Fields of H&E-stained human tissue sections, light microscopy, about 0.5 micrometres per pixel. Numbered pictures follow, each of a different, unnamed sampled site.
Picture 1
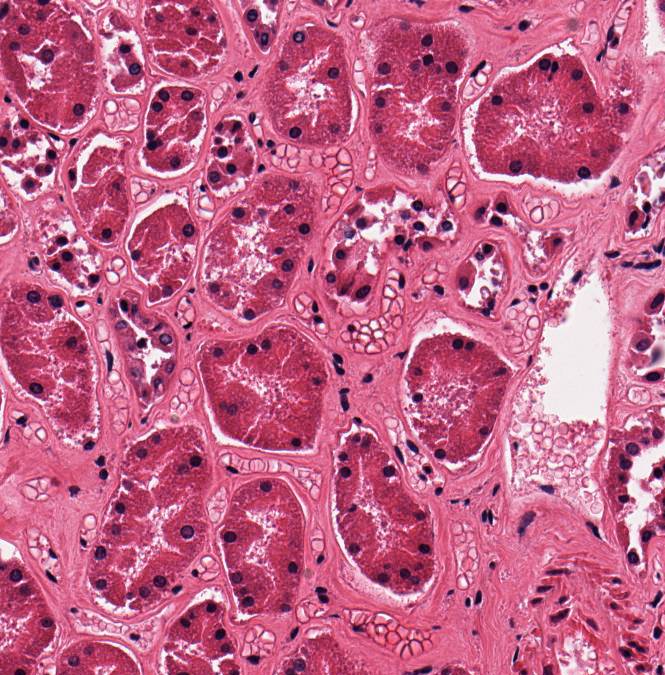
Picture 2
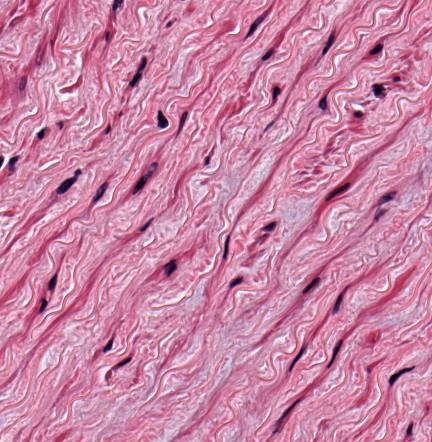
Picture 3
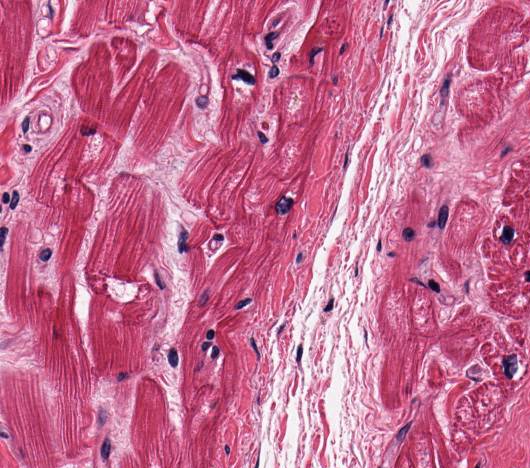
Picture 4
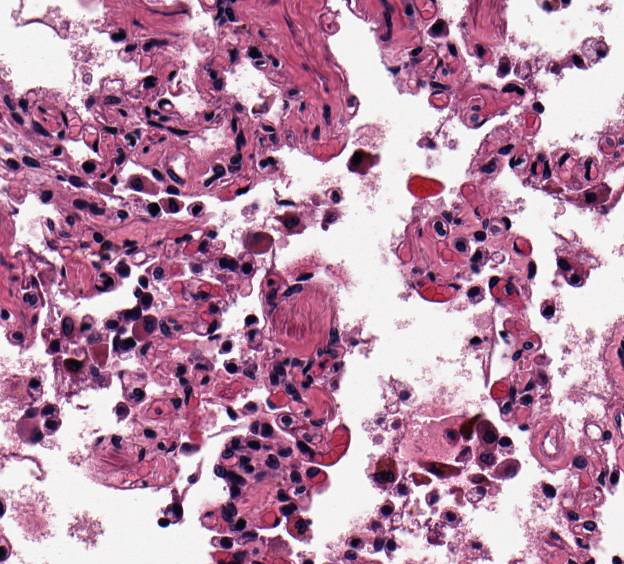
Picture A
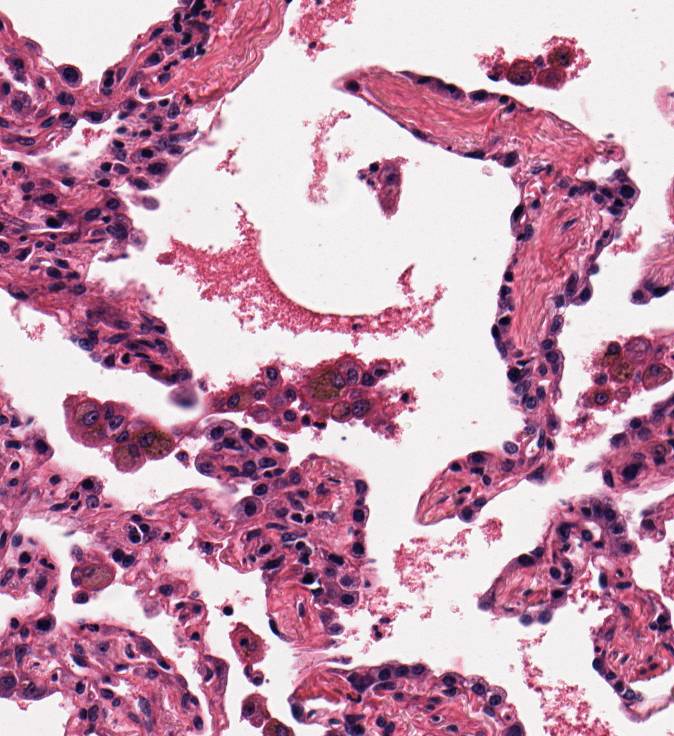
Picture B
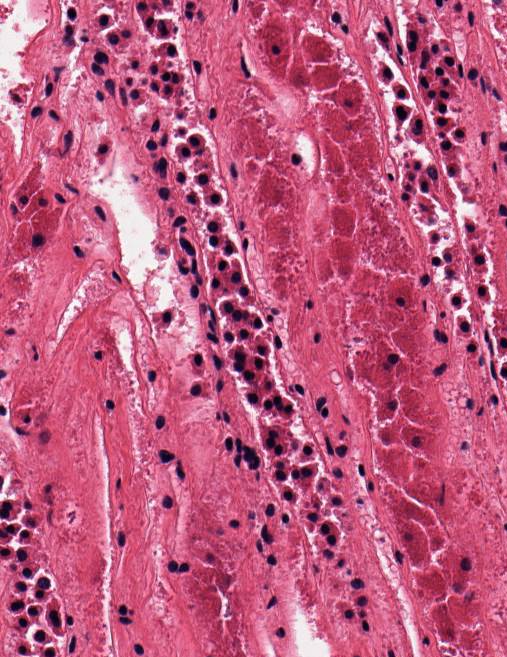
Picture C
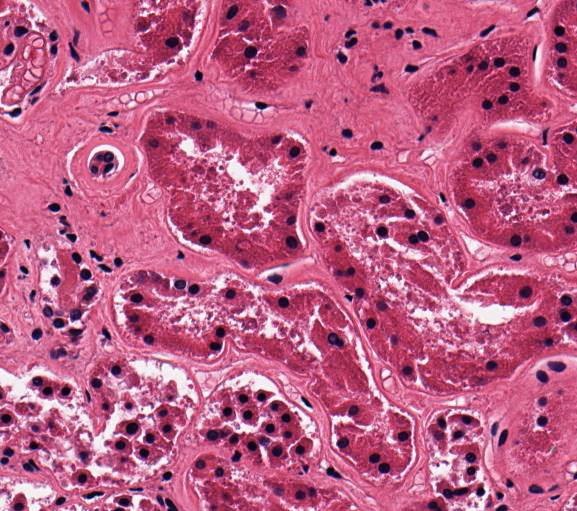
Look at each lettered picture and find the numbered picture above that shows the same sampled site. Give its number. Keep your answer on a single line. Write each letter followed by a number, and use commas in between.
A 4, B 1, C 1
